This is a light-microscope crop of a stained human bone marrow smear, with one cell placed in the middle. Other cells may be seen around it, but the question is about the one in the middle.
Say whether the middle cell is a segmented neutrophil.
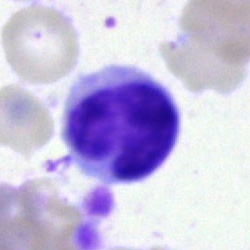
no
